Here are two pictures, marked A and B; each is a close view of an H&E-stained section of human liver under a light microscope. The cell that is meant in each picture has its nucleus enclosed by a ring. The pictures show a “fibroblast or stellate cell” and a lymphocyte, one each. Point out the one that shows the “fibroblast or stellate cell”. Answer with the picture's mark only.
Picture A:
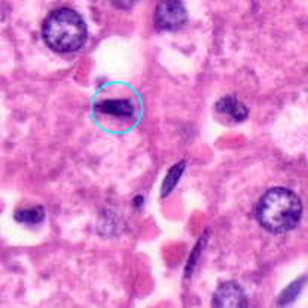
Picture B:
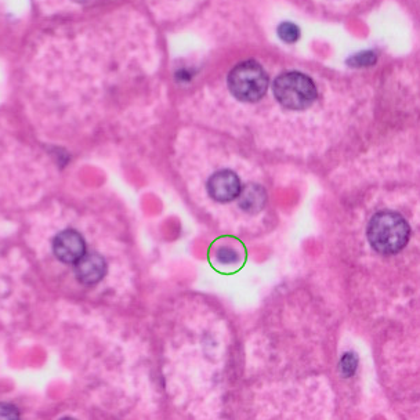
A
